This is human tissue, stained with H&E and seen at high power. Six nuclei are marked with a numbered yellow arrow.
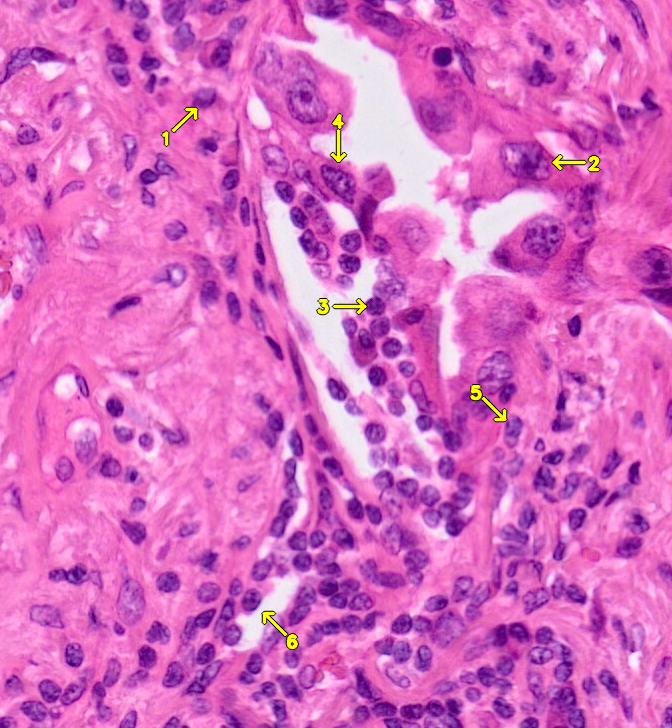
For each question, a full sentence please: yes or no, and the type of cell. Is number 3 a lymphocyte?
Yes, the number 3 belongs to a lymphocyte.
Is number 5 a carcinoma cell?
No, as for cell 5, it is a lymphocyte and not a carcinoma cell.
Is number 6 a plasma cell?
No, cell 6 should be classed as a lymphocyte, not as a plasma cell.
